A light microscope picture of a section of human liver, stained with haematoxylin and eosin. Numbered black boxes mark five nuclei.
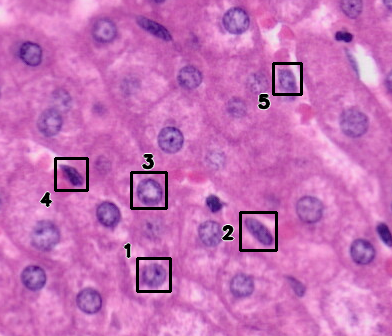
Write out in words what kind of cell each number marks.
Cells 1 and 3 are hepatocytes. Cells 2 and 5 are Kupffer cells. Cell 4 is an endothelial cell.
